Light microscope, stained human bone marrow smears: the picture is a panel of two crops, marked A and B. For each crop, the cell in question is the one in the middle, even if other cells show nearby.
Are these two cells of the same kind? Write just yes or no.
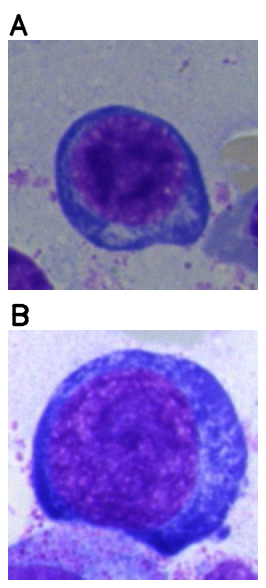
yes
